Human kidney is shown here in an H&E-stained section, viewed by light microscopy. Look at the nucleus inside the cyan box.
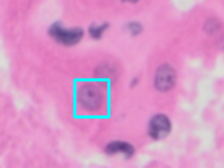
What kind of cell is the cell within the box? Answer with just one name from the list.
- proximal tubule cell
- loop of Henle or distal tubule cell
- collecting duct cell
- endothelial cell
proximal tubule cell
